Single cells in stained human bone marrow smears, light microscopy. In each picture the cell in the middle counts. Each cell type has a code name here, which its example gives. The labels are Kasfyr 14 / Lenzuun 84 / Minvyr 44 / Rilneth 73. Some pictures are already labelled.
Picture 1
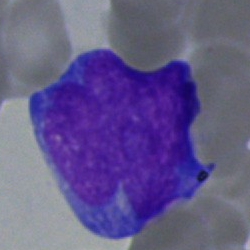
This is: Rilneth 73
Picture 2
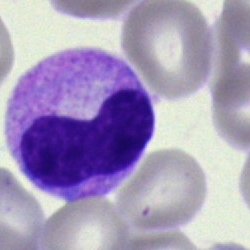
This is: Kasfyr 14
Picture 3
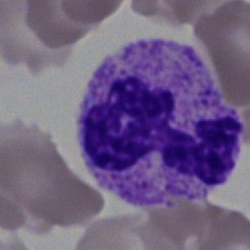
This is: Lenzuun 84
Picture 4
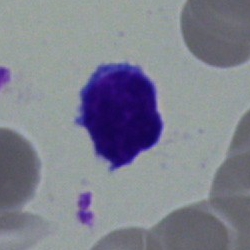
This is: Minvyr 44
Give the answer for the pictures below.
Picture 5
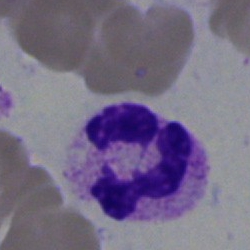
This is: Lenzuun 84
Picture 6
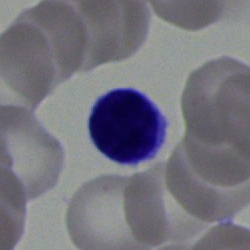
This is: Minvyr 44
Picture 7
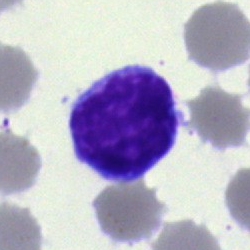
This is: Minvyr 44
